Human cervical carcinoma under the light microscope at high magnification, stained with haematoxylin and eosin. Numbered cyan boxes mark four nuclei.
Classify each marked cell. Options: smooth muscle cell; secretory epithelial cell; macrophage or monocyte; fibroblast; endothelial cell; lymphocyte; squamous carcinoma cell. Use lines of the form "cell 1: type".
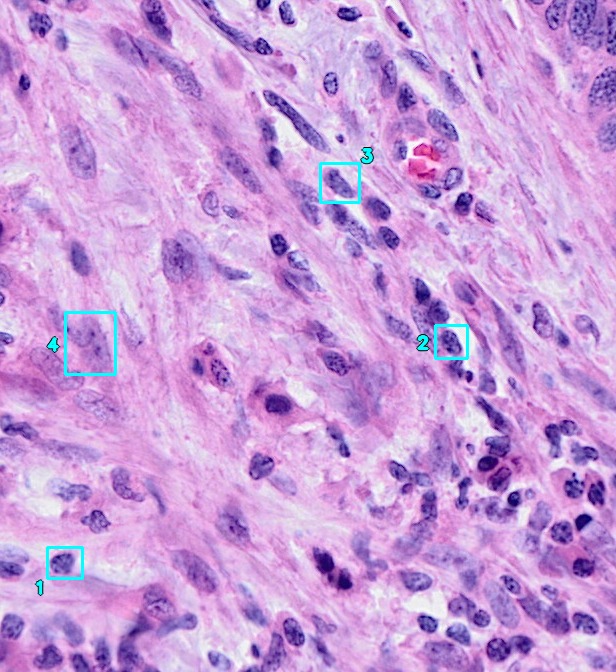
cell 1: lymphocyte
cell 2: lymphocyte
cell 3: lymphocyte
cell 4: fibroblast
